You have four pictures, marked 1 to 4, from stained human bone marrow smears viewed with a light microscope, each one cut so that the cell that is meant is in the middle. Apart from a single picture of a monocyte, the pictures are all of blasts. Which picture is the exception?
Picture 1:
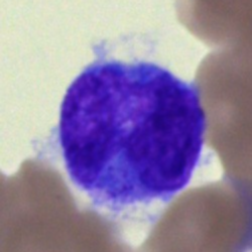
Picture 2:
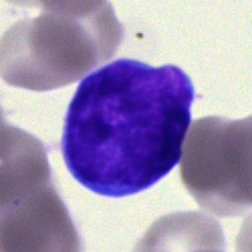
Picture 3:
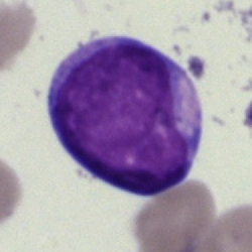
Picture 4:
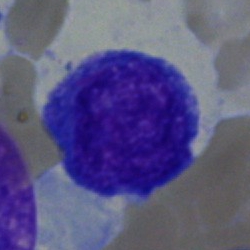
1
